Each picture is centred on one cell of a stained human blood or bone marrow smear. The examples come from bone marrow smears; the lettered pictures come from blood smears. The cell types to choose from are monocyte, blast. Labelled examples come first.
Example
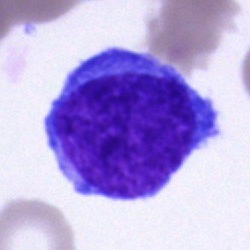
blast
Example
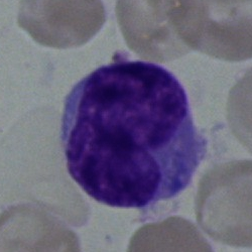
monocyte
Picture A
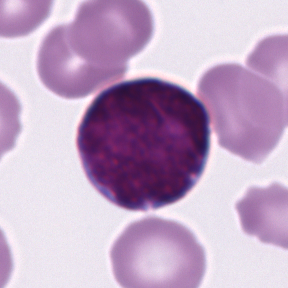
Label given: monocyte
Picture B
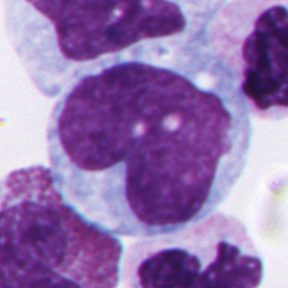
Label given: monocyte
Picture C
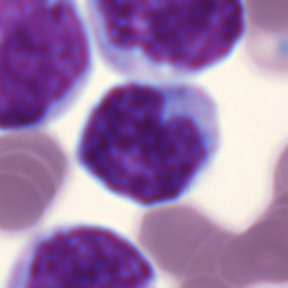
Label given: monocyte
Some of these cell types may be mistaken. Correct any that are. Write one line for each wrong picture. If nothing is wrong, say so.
A should be blast, not monocyte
